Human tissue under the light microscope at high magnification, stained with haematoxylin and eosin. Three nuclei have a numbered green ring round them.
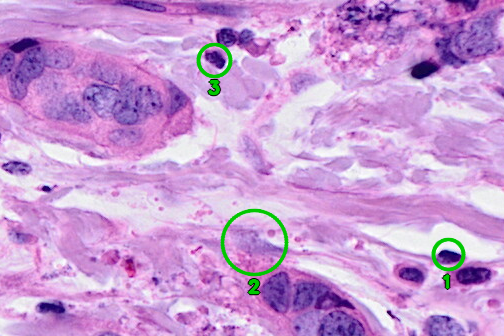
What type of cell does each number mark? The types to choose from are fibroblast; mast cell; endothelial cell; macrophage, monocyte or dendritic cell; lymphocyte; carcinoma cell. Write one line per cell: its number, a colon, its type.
1: lymphocyte
2: fibroblast
3: lymphocyte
